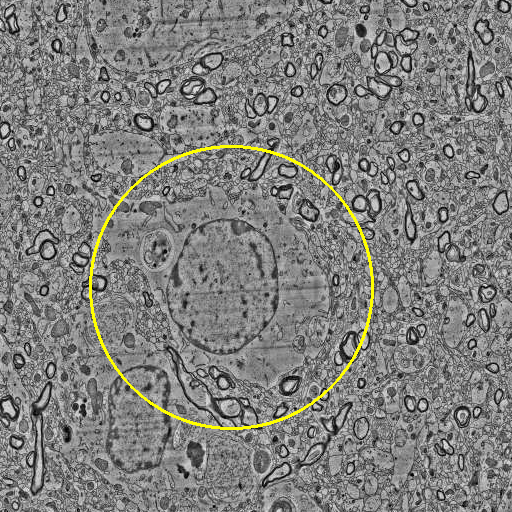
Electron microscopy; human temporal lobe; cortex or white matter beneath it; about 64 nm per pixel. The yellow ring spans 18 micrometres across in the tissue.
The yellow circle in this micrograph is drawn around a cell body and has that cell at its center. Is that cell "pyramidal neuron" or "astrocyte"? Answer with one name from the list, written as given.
astrocyte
